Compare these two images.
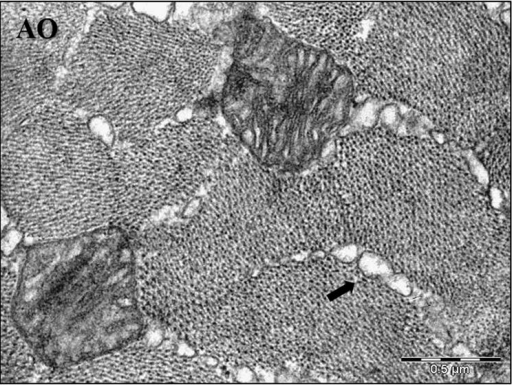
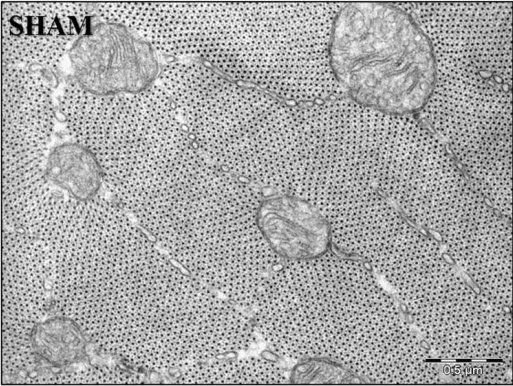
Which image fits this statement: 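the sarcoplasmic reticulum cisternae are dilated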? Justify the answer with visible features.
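First image: rows of swollen, pale, rounded vesicles lie between the myofibrils. Second image: the spaces between myofibrils are narrow clefts with only small vesicles.
The first image.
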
